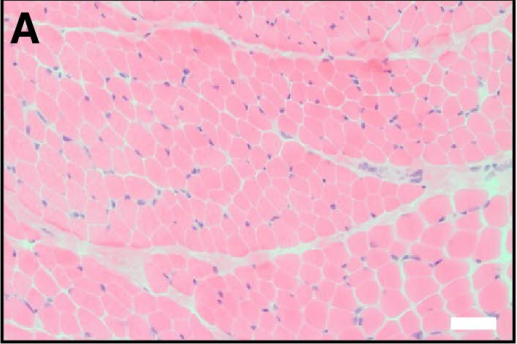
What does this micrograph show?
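This is skeletal muscle cut across, with pink polygonal myofibres packed into fascicles separated by pale strands of connective tissue. The fibres differ mildly in diameter, some being smaller than their neighbours. Their small dark blue nuclei sit at the edges of the fibres rather than in their centres. Thin pale endomysial spaces lie between the fibres, and broader pale bands mark the borders of the fascicles. No clusters of inflammatory cells or pale, broken-down fibres are evident.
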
